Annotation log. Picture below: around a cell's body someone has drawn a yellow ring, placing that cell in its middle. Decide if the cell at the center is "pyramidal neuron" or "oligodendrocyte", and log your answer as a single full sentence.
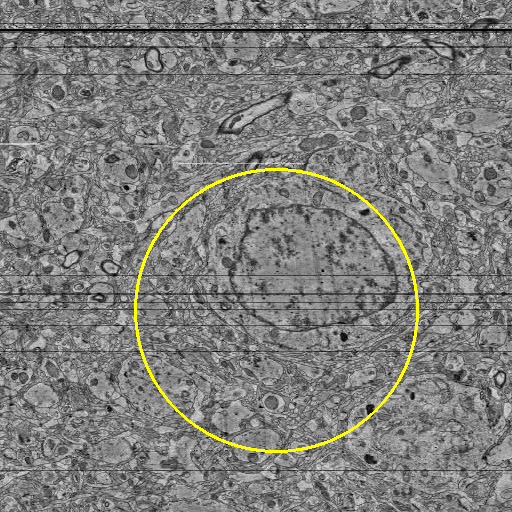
My entry records a pyramidal neuron as the cell sitting at the center of the yellow ring.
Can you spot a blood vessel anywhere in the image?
No, no blood vessel can be seen.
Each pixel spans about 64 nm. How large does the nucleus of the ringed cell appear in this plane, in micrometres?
The nucleus comes to roughly 11 by 8 micrometres in this plane.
